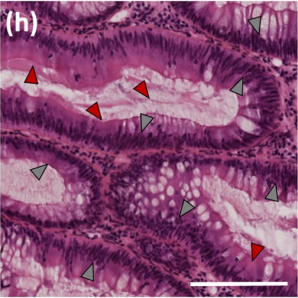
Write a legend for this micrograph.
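This is colonic mucosa with low grade dysplasia, showing elongated glands lined by tall columnar epithelium. The nuclei are dark, elongated and crowded, stacked at different heights across the epithelium rather than in one basal row. Pale mucin vacuoles are sparse in most of the dysplastic epithelium, whose cytoplasm is deep pink-purple. Some gland lumens contain pale wispy material. Thin bands of stroma with small dark nuclei separate the glands.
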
